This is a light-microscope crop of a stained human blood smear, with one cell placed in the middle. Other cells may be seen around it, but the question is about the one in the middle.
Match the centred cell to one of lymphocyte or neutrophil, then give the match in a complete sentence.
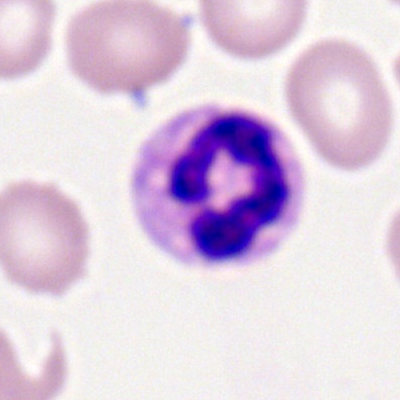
The cell at the middle of the crop is recognized as a neutrophil.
